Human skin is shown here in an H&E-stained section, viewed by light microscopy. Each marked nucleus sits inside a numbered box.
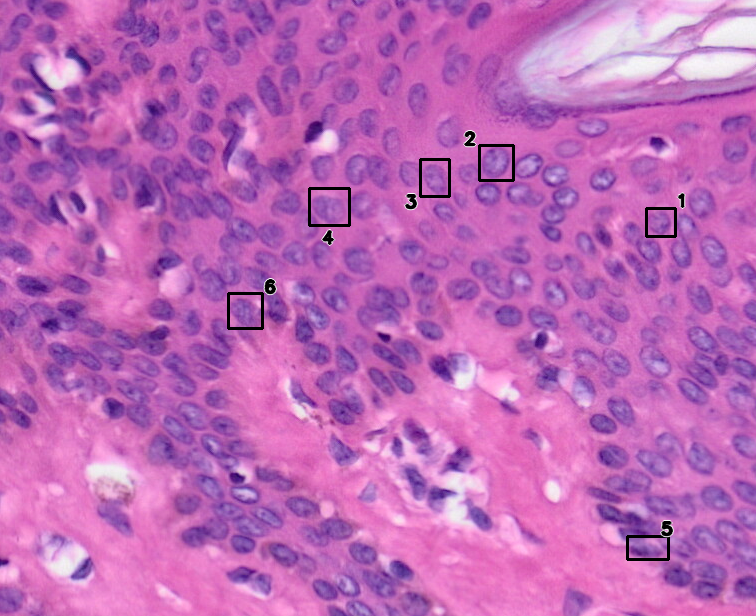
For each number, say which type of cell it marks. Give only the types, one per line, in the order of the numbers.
suprabasal keratinocyte
suprabasal keratinocyte
suprabasal keratinocyte
suprabasal keratinocyte
basal keratinocyte
basal keratinocyte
